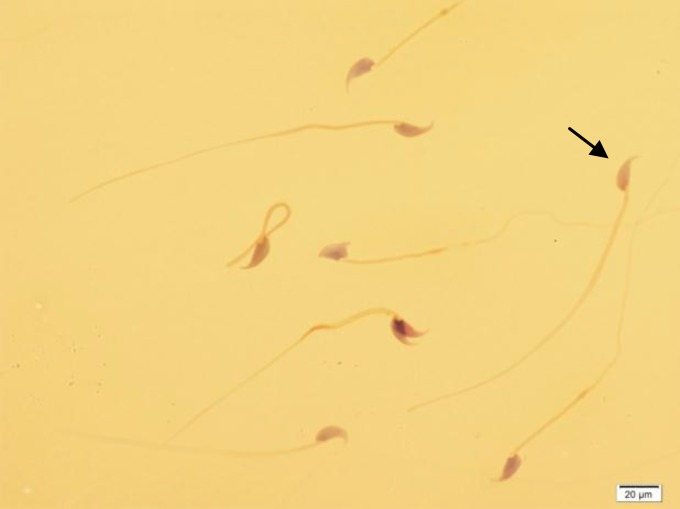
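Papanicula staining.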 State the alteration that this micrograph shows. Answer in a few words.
Sperm morphological abnormalities.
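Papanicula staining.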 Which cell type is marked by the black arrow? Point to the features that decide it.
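The marked cell has a small purple-stained head and a long thin tail. The head is hook-shaped like those of the other cells, with no obvious bend at the head-tail junction. So: spermatozoon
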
